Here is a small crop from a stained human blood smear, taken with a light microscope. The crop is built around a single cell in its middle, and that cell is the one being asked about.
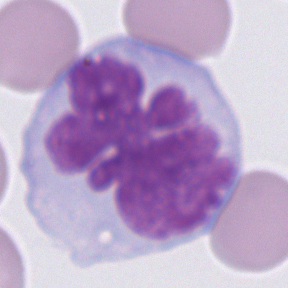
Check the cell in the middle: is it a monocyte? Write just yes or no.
yes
